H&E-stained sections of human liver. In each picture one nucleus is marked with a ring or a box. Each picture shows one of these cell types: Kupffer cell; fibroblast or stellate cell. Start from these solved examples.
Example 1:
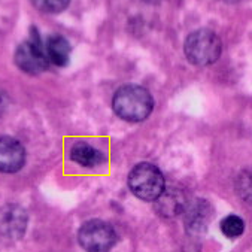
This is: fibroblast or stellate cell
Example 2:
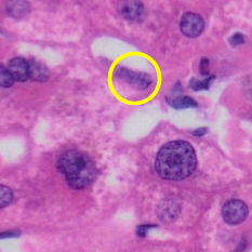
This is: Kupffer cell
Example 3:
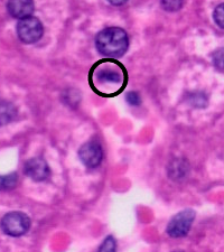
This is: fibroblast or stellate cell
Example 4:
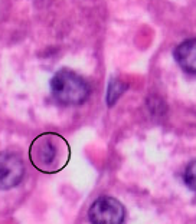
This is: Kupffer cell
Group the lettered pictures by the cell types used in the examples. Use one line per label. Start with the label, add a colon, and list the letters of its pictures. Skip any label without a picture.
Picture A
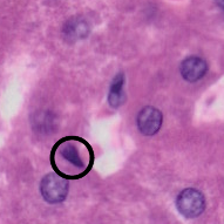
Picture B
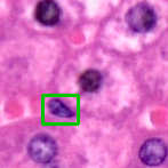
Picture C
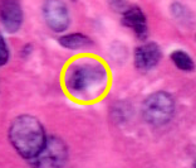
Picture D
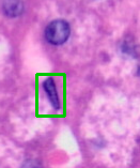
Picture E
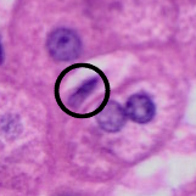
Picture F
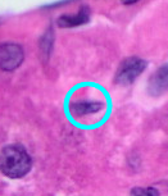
Kupffer cell: E
fibroblast or stellate cell: A, B, C, D, F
